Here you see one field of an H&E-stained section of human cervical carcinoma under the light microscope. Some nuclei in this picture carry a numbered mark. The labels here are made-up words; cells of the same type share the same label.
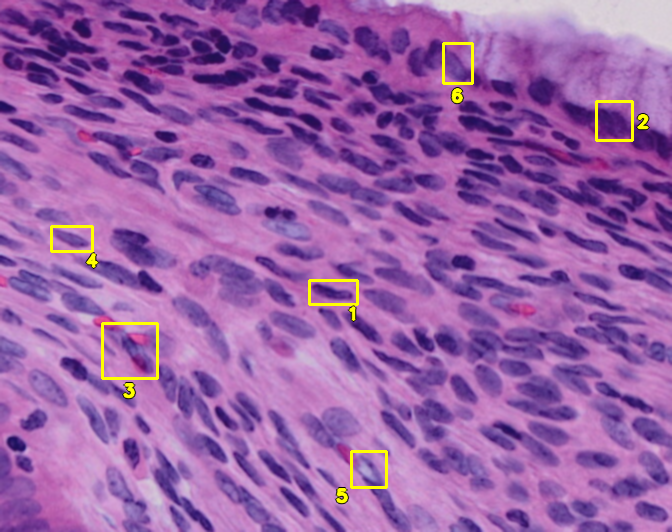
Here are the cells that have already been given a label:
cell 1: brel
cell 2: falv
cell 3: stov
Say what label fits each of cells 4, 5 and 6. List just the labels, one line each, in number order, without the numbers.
brel
stov
falv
